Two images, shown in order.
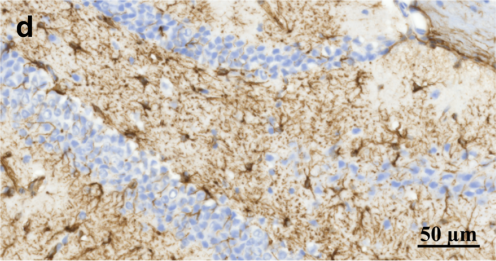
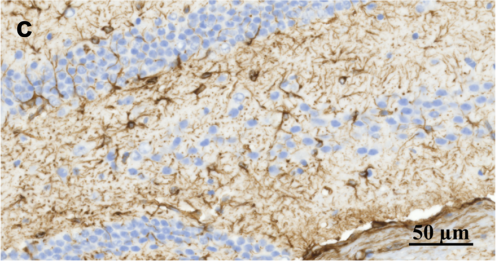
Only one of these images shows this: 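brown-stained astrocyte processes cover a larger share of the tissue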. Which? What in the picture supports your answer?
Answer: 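First image: a dense meshwork of brown processes fills most of the space between the cell bands. Second image: brown processes are sparser, with more pale background between them.
Hence: the first image.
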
